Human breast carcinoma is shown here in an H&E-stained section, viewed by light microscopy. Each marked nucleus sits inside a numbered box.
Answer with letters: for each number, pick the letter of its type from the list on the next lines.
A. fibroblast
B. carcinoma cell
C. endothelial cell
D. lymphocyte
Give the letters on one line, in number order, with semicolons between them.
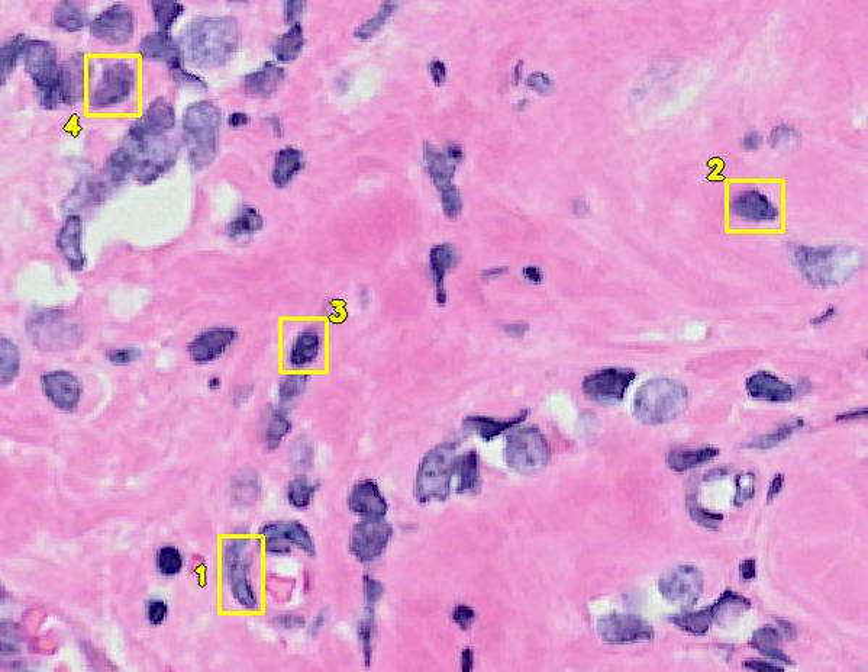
C; D; D; B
